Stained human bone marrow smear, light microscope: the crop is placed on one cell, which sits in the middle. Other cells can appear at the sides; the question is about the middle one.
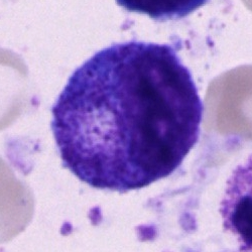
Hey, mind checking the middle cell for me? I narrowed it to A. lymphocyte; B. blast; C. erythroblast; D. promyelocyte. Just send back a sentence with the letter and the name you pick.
The cell at the heart of the crop is a promyelocyte, so choose option D.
